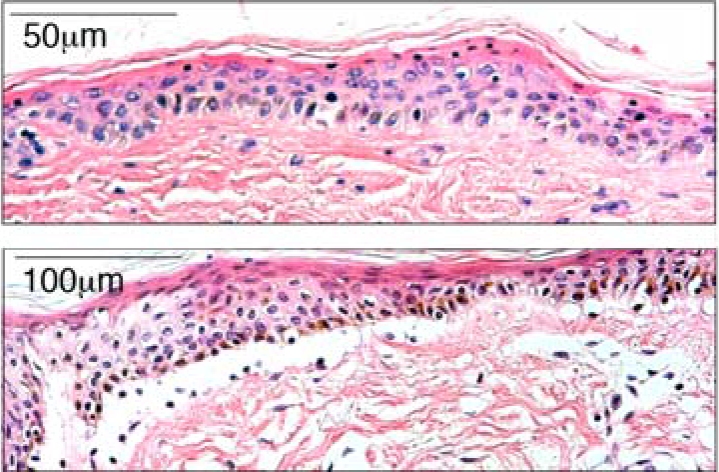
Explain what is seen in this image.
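These are two strips of skin, each showing the epidermis above and the dermis below. The epidermis is a stratified squamous epithelium of keratinocytes with rounded purple nuclei, capped by a pink, layered cornified surface. Beneath it lies the dermis, made of pink, wavy collagen bundles with only a few scattered spindle-shaped nuclei. In the lower strip many of the epidermal nuclei are small and very dark. There is also a pale, empty gap in the tissue close beneath the epidermis, near the junction between epidermis and dermis.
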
